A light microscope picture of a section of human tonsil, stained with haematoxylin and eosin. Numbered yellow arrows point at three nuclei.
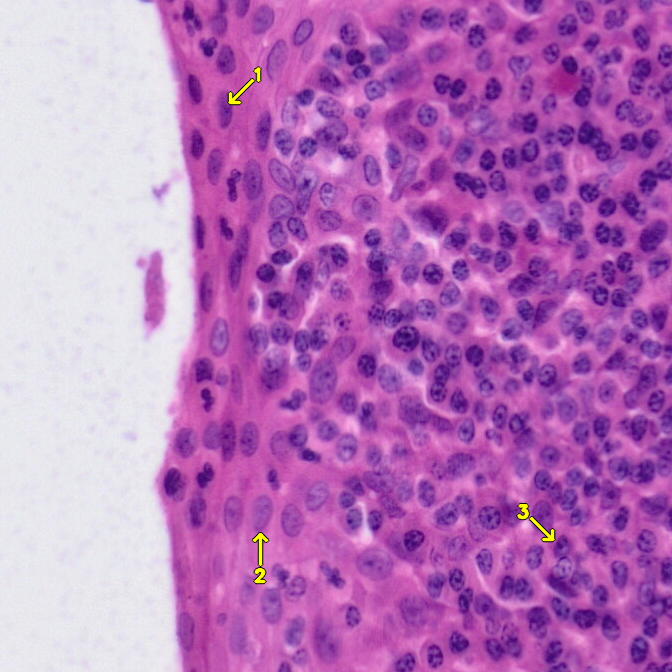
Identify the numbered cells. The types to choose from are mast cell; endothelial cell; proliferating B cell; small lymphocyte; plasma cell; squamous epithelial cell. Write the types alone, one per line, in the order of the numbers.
squamous epithelial cell
squamous epithelial cell
plasma cell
